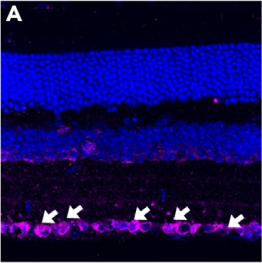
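This retinal cross-section shows the typical stack of layers, with a thick blue band of tightly packed nuclei at the top and a second, thinner nuclear band below it. Beneath that lies a wide, largely nucleus-free band with little magenta. At the bottom edge a single row of larger cells forms the ganglion cell layer, and many of these are outlined by magenta labelling.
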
